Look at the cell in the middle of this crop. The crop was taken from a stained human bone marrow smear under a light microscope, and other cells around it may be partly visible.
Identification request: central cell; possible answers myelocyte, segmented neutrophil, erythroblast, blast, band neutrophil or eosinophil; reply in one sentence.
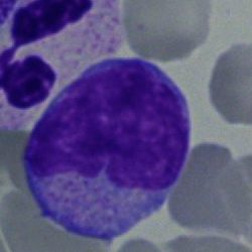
Framed in the middle of the crop is a blast.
